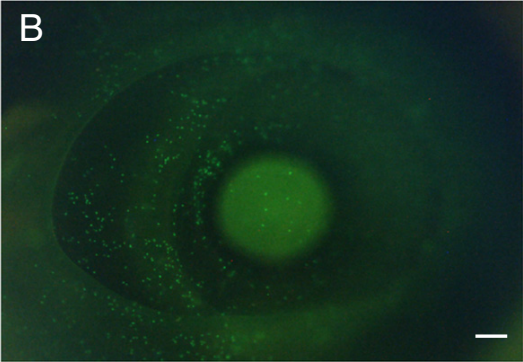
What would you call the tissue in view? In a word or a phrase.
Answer: Eye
